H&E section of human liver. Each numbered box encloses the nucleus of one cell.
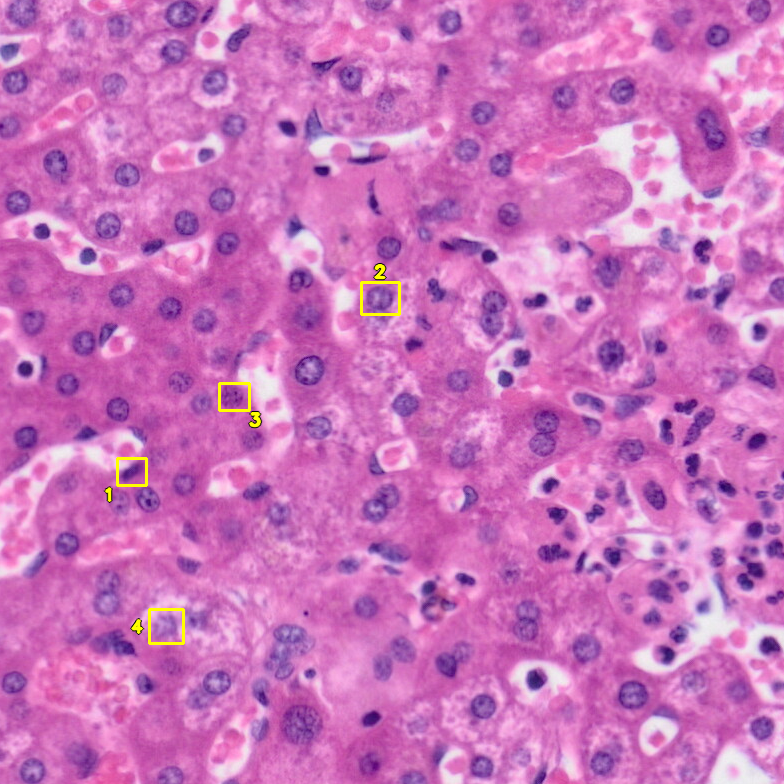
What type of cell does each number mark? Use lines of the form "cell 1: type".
cell 1: fibroblast or stellate cell
cell 2: hepatocyte
cell 3: hepatocyte
cell 4: hepatocyte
